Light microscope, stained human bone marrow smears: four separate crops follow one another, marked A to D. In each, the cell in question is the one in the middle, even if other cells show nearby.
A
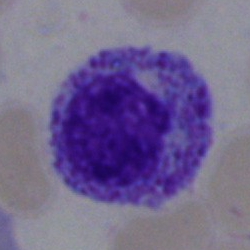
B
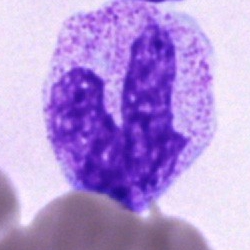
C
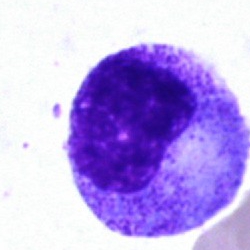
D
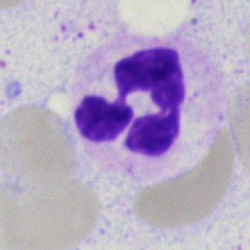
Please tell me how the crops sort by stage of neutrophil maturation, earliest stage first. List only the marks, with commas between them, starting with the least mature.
A, C, B, D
